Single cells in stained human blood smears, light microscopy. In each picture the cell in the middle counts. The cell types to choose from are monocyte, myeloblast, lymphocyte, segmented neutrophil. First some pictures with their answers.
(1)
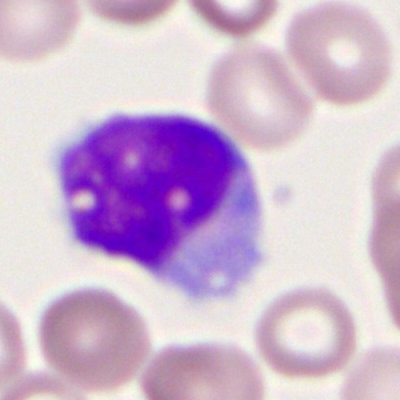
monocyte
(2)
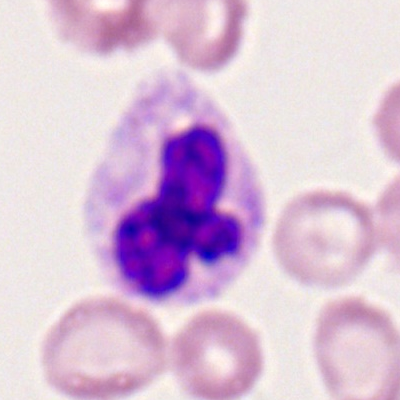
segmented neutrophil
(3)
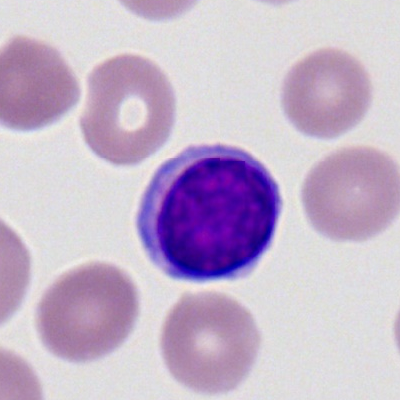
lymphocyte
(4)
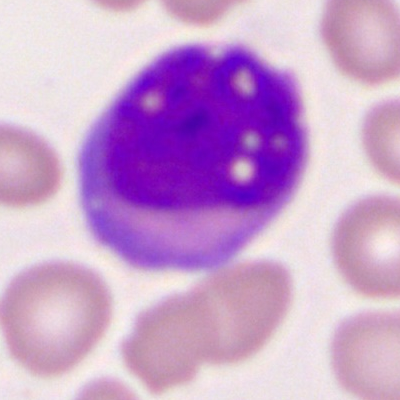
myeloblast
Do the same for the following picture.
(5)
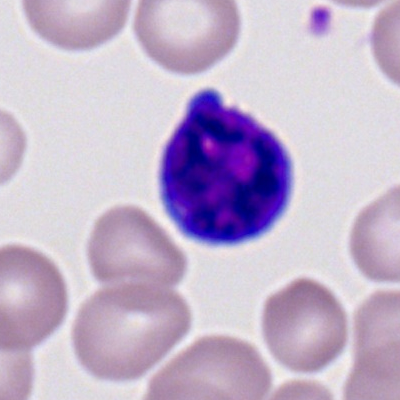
lymphocyte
